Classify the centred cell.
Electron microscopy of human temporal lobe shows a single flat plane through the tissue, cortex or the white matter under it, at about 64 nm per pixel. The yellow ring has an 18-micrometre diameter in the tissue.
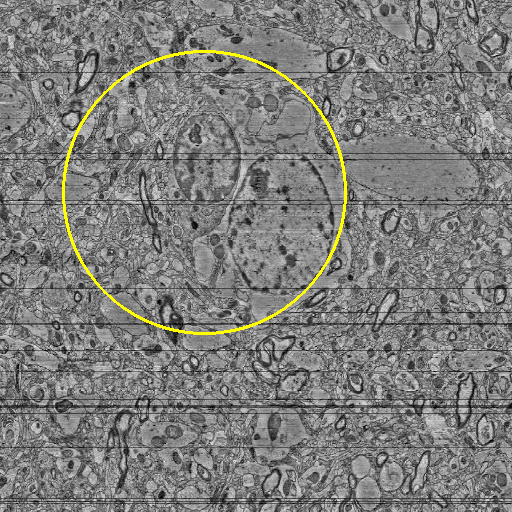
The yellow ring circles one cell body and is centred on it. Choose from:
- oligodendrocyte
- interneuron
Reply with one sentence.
The ring is centred on an oligodendrocyte.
